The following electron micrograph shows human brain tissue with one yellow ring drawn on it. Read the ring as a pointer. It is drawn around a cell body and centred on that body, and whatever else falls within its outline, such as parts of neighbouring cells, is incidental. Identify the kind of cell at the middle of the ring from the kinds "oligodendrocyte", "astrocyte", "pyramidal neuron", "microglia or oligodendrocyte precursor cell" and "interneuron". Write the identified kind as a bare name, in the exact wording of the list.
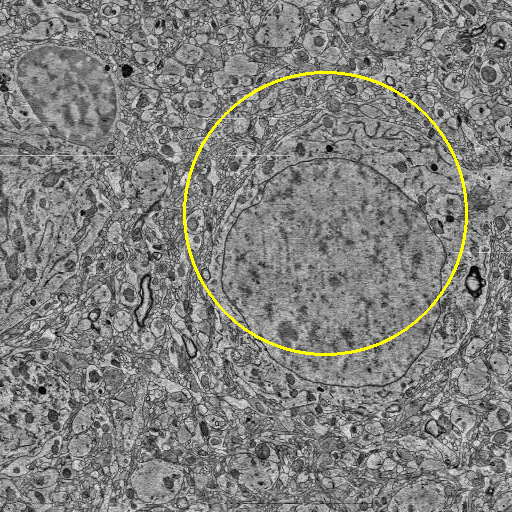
pyramidal neuron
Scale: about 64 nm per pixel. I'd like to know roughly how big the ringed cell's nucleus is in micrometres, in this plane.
In this plane the ringed cell's nucleus is roughly 15 micrometres across.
